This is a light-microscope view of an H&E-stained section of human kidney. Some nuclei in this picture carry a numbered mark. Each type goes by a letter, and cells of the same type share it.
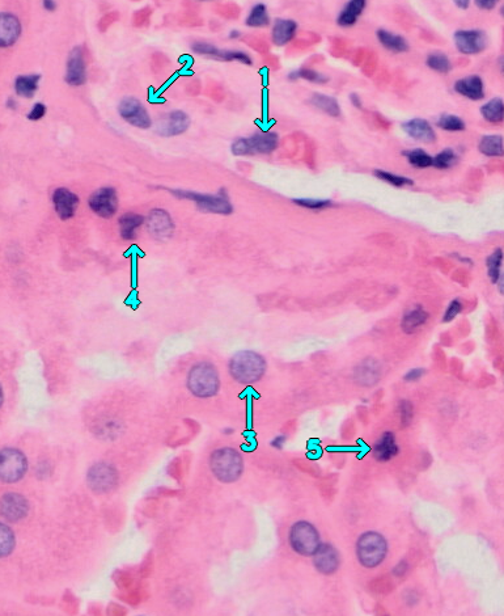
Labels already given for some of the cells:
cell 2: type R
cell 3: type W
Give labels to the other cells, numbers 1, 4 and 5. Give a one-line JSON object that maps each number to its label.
{"1": "type R", "4": "type W", "5": "type W"}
